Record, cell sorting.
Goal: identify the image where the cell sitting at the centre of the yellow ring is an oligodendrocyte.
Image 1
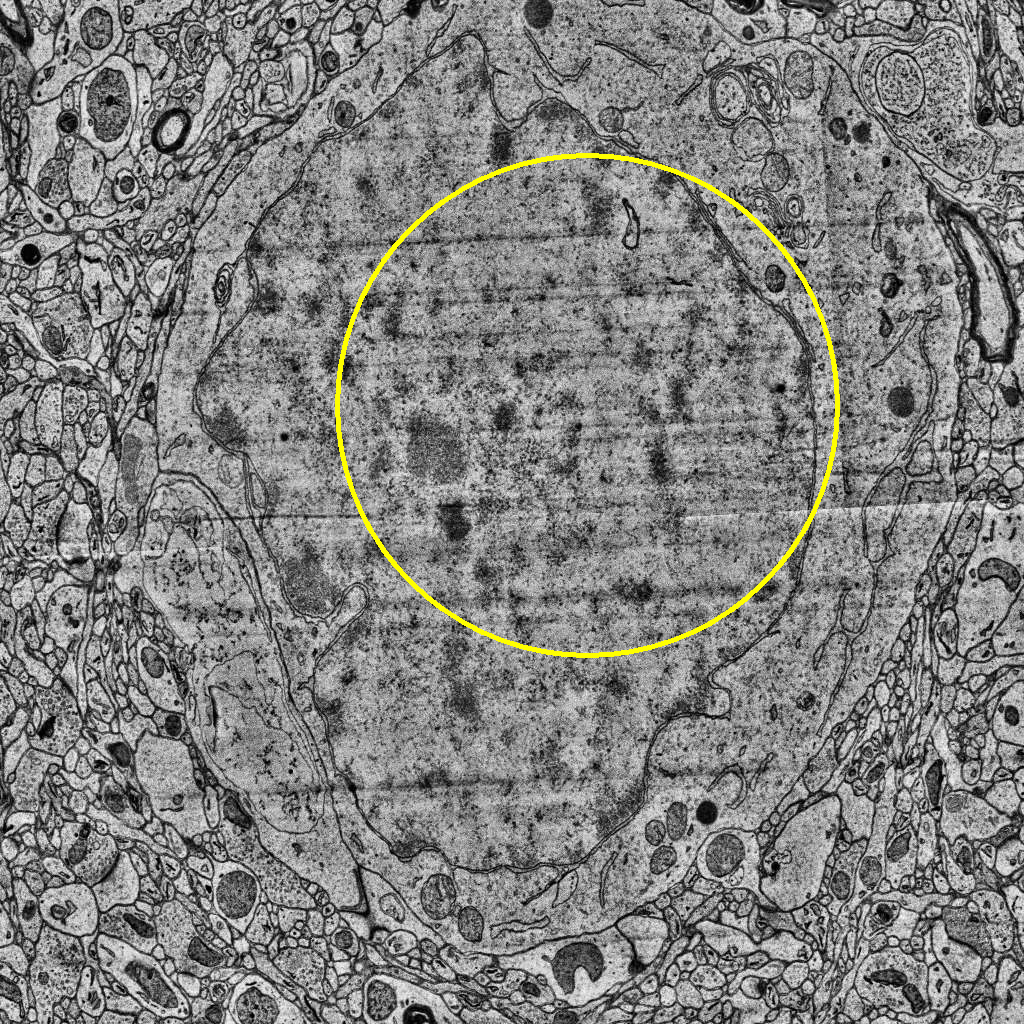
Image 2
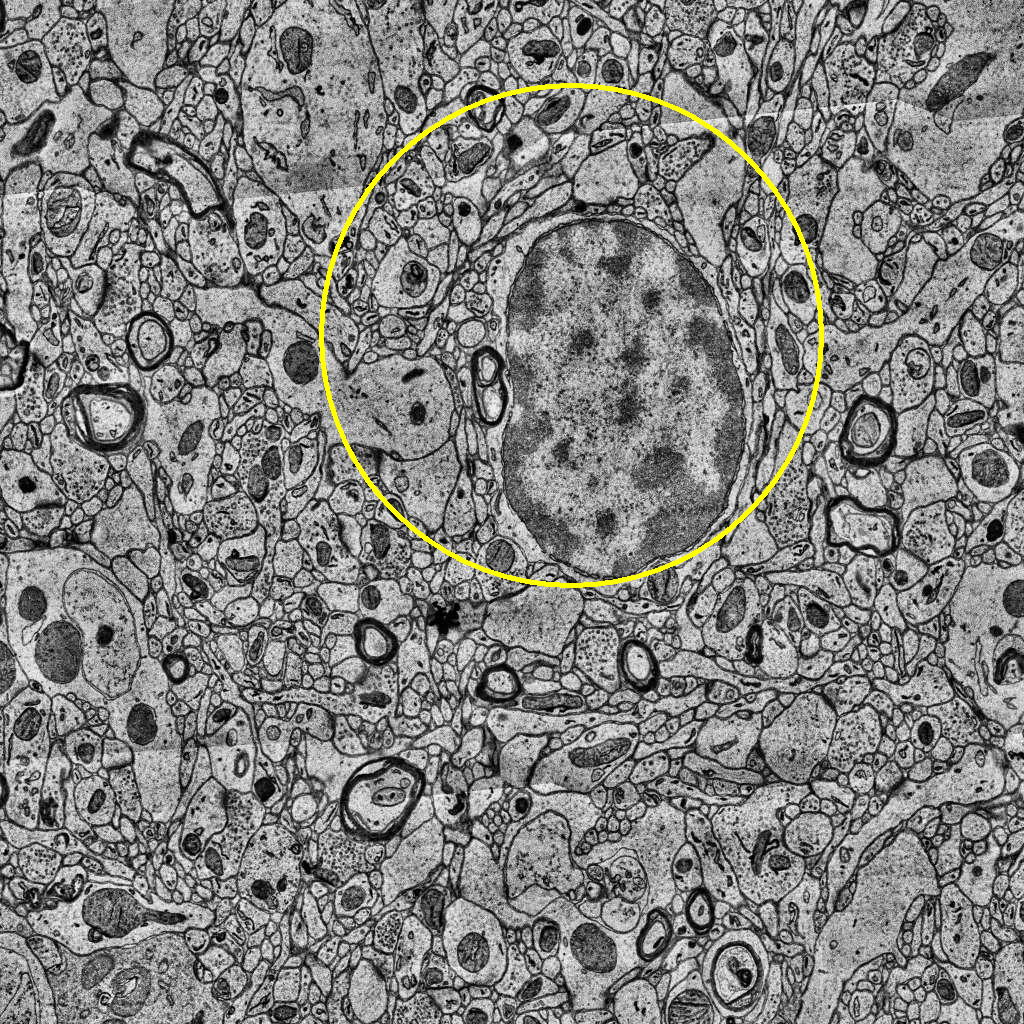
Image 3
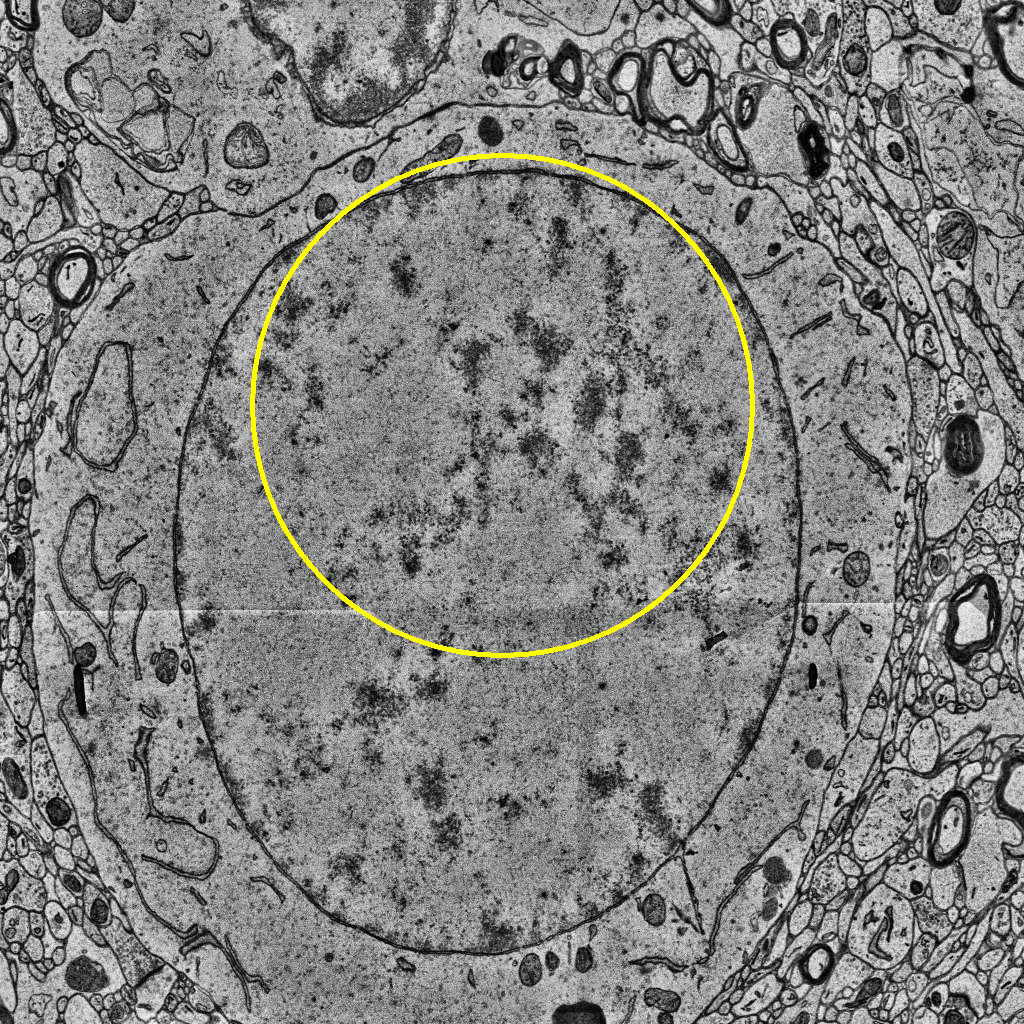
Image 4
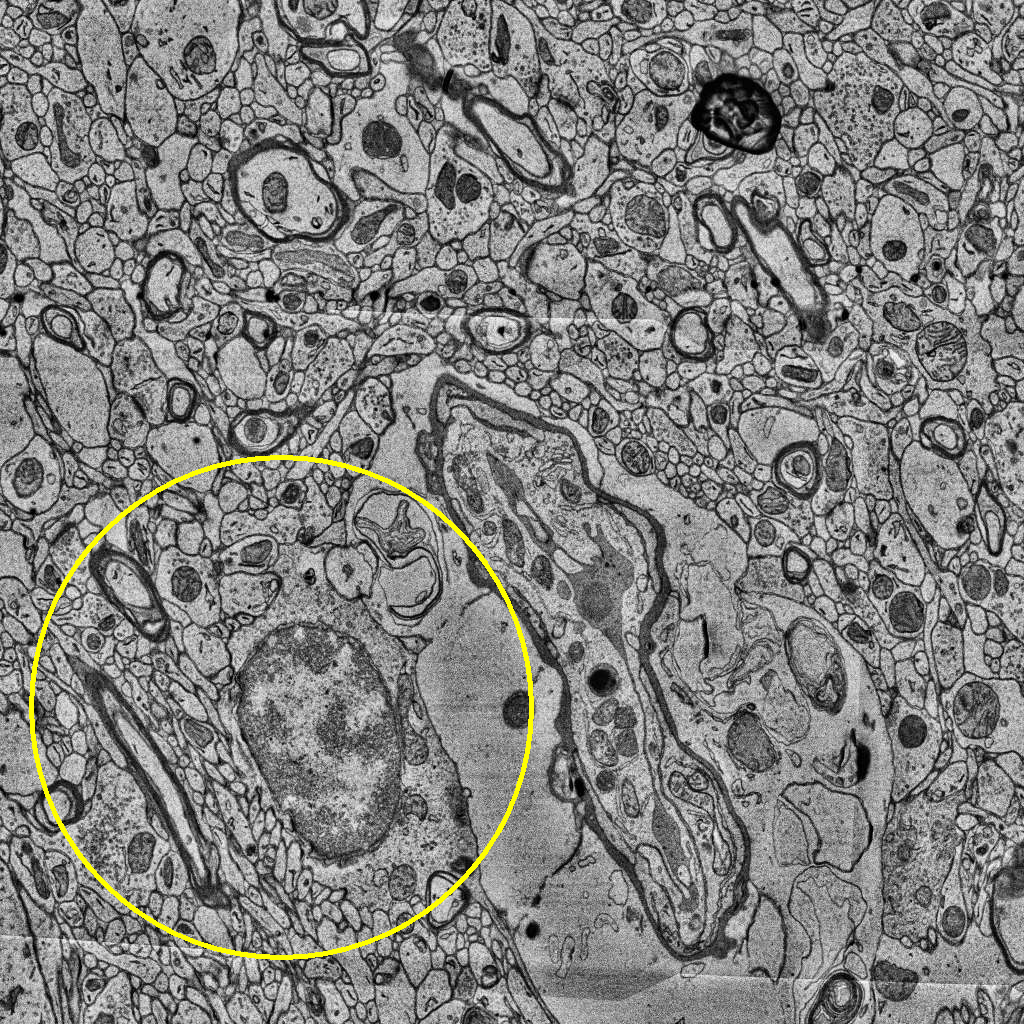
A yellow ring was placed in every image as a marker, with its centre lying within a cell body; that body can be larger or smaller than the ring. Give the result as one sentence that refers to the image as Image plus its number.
Image 4 shows the requested cell sitting right at the centre of its ring.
